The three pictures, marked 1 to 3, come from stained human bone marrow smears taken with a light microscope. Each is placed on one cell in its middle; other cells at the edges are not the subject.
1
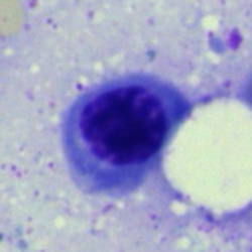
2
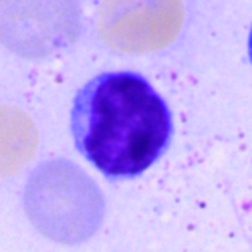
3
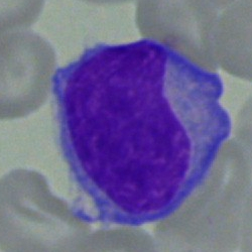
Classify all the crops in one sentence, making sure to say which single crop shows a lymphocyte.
Crop by crop: crop 2 is a lymphocyte, while crop 1 is an erythroblast and crop 3 is a blast.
